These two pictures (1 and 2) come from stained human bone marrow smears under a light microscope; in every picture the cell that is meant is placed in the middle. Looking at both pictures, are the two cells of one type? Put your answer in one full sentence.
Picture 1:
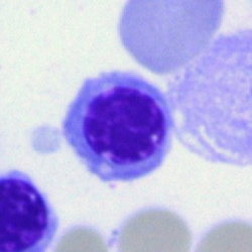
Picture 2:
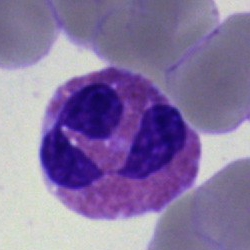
No; the cell in picture 1 is an erythroblast, while the one in picture 2 is an eosinophil.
